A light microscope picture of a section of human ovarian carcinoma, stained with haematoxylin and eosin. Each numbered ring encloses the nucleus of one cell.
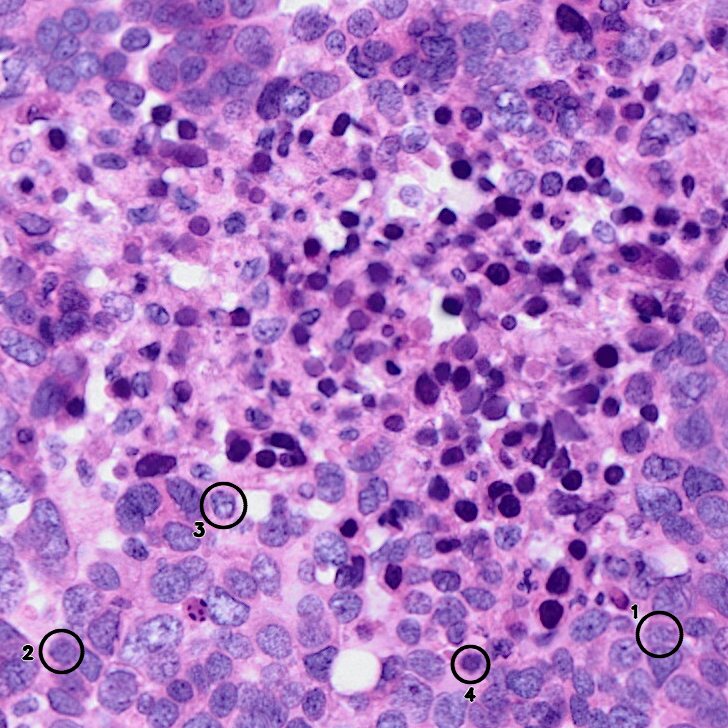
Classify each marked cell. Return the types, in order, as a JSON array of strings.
["carcinoma cell", "carcinoma cell", "macrophage or monocyte", "carcinoma cell"]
